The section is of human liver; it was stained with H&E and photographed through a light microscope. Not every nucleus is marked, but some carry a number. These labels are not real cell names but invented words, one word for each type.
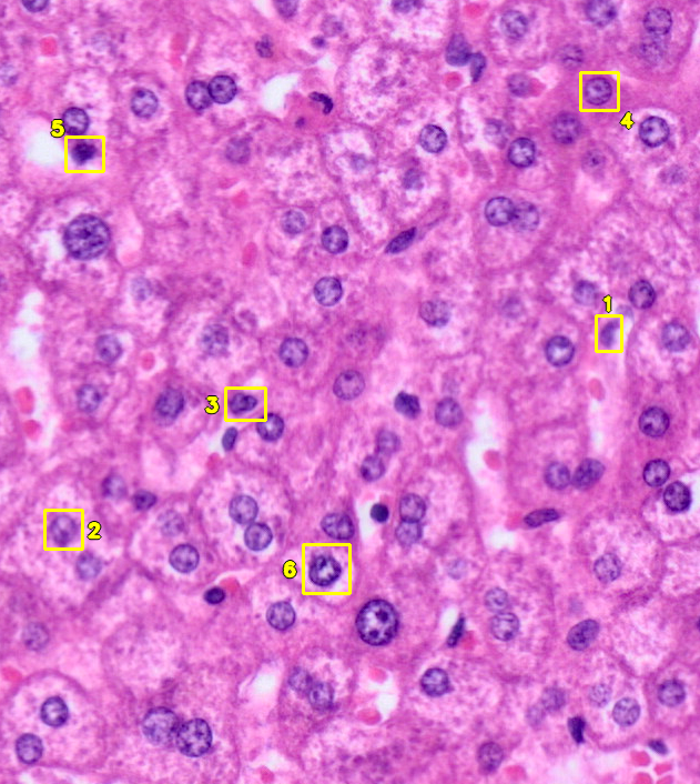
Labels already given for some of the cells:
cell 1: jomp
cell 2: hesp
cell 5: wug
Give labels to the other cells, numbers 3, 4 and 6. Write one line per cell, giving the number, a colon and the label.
3: jomp
4: hesp
6: hesp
